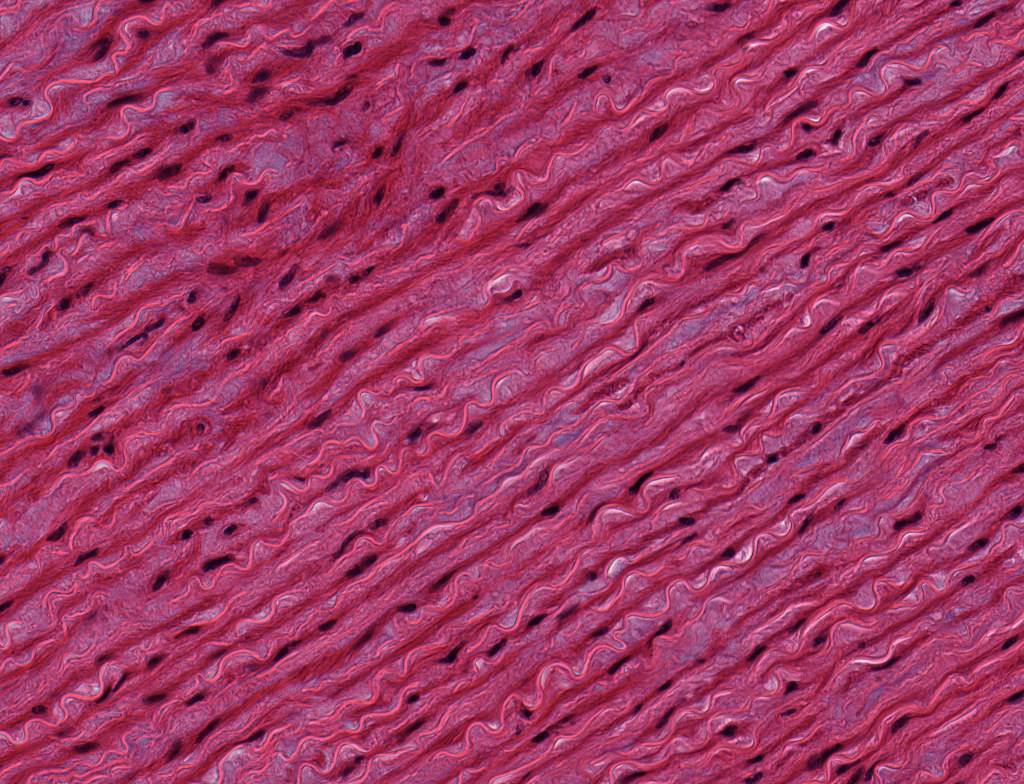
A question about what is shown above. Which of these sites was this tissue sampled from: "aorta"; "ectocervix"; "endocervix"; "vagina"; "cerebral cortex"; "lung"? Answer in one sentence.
The site this tissue was sampled from is the aorta.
